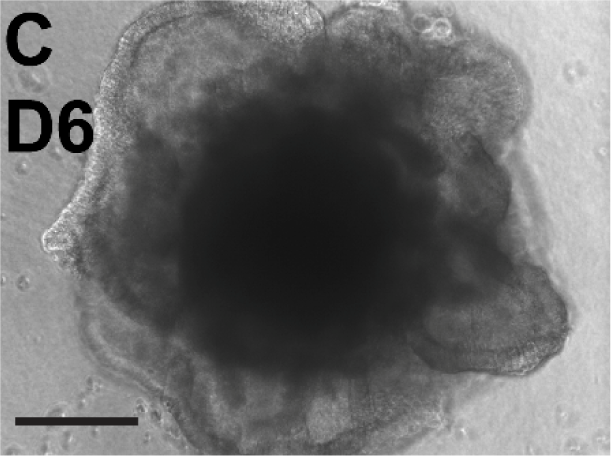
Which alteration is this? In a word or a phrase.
extensive ruffling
